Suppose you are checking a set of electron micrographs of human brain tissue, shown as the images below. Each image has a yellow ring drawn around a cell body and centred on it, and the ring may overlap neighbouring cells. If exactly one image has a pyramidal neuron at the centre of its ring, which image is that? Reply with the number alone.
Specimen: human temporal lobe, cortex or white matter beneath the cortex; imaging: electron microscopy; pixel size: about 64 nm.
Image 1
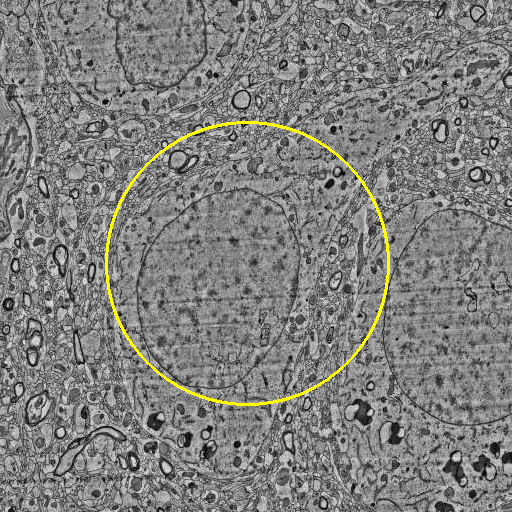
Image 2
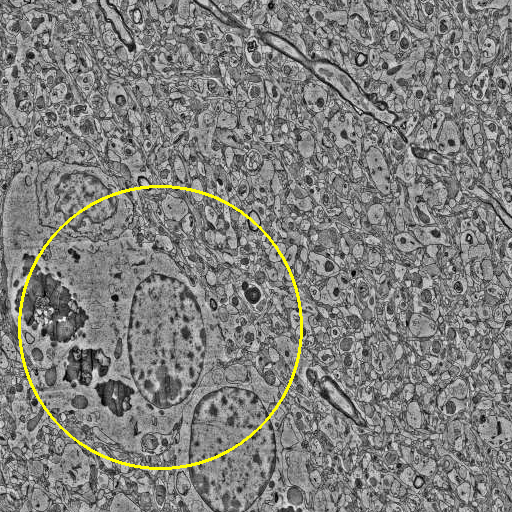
1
